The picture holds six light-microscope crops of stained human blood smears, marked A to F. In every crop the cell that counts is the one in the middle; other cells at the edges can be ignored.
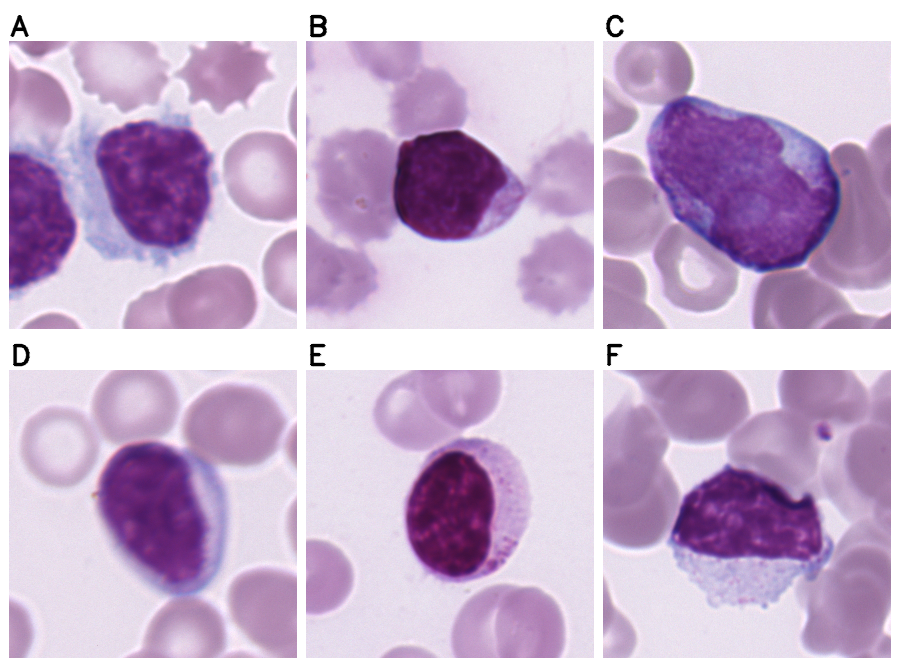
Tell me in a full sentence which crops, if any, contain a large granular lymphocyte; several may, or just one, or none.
It is crops D, E and F that show large granular lymphocytes.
